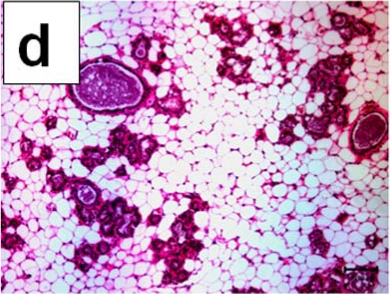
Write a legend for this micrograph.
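This is a section of mammary tissue dominated by large, empty-looking fat cells with thin pink walls. Glandular epithelium appears only as small, irregular, darkly stained purple clusters scattered between the fat cells. A few larger round ducts or cysts with a thick rim contain granular pink material.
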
